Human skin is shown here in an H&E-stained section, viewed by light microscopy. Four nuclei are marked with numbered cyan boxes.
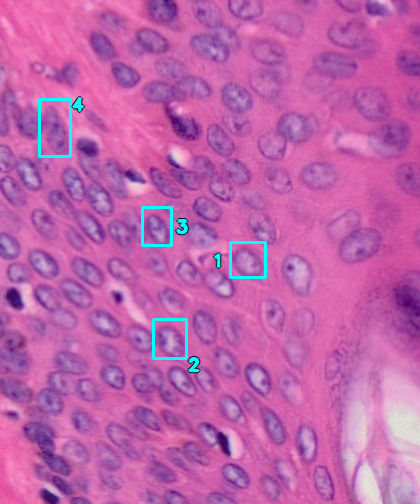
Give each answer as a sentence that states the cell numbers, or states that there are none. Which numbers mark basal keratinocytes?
In this set of numbered cells, only cell 4 is a basal keratinocyte.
